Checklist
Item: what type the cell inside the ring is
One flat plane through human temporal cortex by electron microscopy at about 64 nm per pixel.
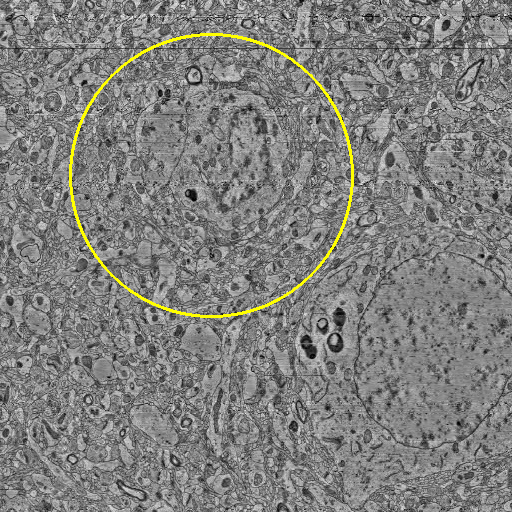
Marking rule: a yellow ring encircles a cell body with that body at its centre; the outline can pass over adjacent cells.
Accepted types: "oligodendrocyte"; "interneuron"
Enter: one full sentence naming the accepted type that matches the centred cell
The entry is that an interneuron lies at the centre of the yellow ring.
